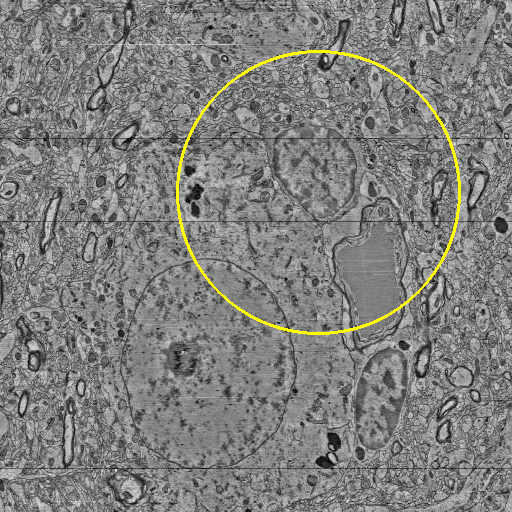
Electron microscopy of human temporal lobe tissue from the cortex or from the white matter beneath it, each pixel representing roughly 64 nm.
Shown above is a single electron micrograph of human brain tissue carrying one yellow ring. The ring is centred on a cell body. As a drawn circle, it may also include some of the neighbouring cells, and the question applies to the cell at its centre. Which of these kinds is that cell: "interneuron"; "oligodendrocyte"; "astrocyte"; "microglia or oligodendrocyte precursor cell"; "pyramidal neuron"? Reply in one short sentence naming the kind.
The cell marked by the ring is an oligodendrocyte.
